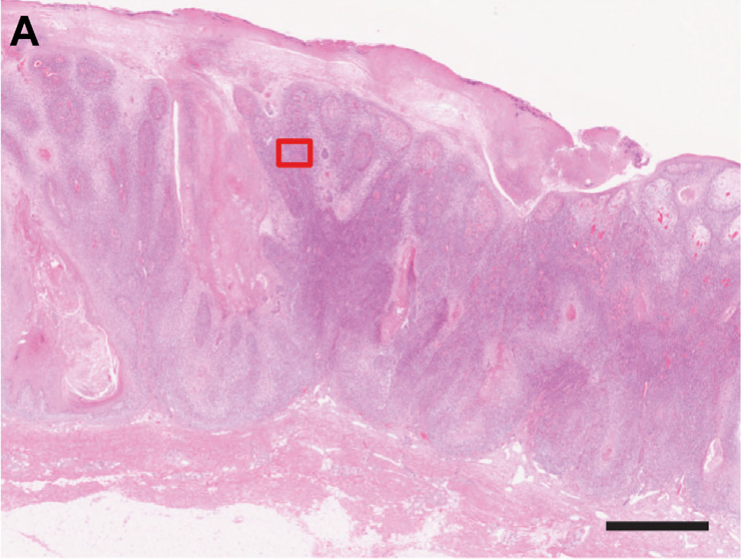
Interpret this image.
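At low power a thick, pink keratinized surface layer covers a lesion made of purple-staining cell masses. Some lobules have pale or keratinous pink centres. Beneath the lesion lies looser, paler connective tissue. A small red square outlines one area within a nest.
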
